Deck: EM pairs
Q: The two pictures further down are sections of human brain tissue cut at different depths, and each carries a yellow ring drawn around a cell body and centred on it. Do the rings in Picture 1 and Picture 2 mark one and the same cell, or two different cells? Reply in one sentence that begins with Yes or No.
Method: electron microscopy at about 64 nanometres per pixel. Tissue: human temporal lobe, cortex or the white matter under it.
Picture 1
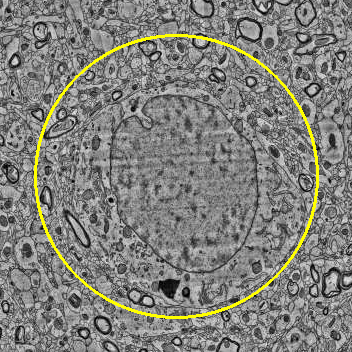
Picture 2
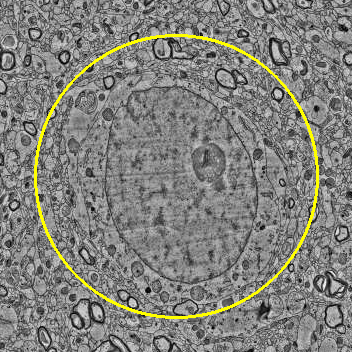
Yes, what the two rings mark is one cell.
